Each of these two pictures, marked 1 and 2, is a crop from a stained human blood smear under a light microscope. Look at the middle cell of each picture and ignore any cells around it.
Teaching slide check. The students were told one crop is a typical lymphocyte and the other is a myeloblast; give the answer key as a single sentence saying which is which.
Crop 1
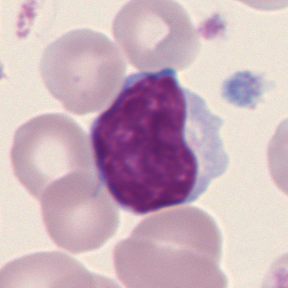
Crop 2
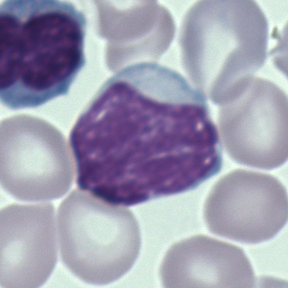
In crop 2 the central cell is a myeloblast, and in crop 1 it is a typical lymphocyte.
